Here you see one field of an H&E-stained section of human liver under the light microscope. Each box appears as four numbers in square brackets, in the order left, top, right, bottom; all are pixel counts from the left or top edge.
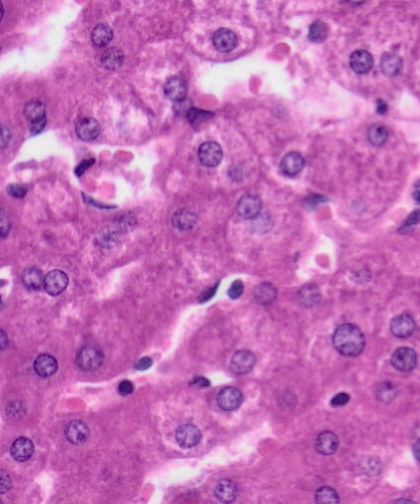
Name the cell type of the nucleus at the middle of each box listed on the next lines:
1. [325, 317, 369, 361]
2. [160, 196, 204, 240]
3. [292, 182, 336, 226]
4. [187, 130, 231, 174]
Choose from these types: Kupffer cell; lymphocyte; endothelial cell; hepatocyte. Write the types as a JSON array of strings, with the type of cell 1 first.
["hepatocyte", "hepatocyte", "endothelial cell", "hepatocyte"]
